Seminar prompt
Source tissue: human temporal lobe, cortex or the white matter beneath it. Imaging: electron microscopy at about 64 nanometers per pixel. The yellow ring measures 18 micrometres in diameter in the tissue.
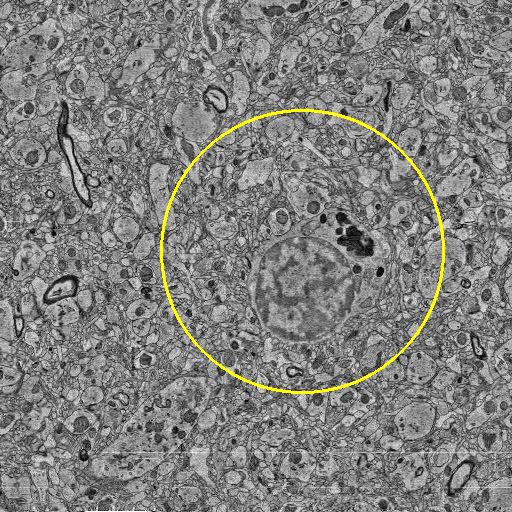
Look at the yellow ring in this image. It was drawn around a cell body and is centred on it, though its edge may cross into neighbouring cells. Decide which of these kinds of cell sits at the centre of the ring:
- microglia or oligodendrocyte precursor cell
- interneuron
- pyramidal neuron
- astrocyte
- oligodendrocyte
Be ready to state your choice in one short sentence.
The kind of cell at the ring's centre is an oligodendrocyte.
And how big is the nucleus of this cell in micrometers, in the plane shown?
In this plane the ringed cell's nucleus is roughly 7 micrometres across.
